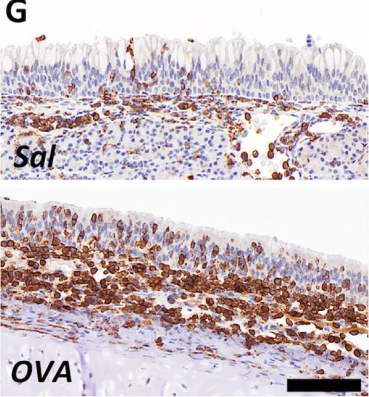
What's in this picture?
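In the upper image the brown cells are few, lying mostly in the connective tissue and around vessels, with only occasional cells in the epithelium. In the lower image brown, small round cells form a dense band beneath the epithelium and many lie within the epithelium itself.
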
